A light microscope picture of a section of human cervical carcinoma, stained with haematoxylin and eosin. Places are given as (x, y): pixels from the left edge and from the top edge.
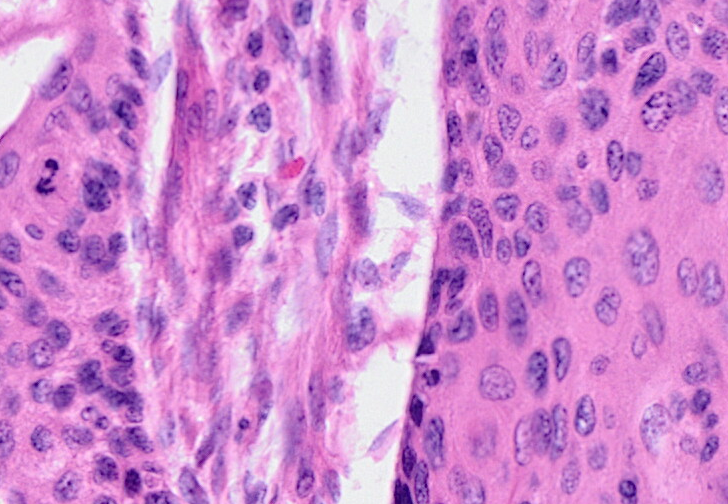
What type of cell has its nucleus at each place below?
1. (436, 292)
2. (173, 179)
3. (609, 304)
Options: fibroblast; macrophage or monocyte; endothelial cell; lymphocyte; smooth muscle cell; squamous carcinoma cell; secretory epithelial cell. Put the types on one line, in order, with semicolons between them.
squamous carcinoma cell; fibroblast; squamous carcinoma cell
